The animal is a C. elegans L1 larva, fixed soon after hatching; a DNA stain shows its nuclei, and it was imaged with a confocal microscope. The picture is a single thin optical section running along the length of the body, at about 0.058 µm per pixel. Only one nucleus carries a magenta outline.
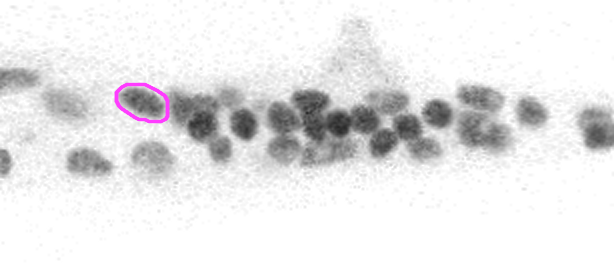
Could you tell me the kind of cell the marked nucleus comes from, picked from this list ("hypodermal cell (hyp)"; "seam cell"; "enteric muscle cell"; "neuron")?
enteric muscle cell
